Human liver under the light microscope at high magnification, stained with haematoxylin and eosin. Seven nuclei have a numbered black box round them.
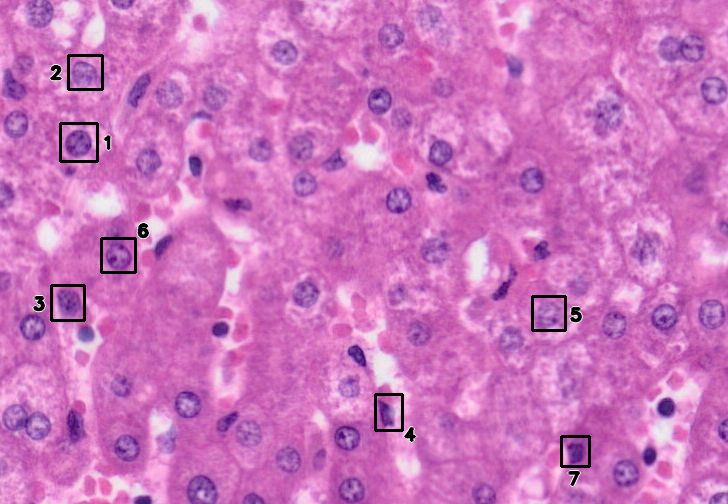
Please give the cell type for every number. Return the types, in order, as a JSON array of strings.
["hepatocyte", "hepatocyte", "Kupffer cell", "endothelial cell", "hepatocyte", "hepatocyte", "fibroblast or stellate cell"]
